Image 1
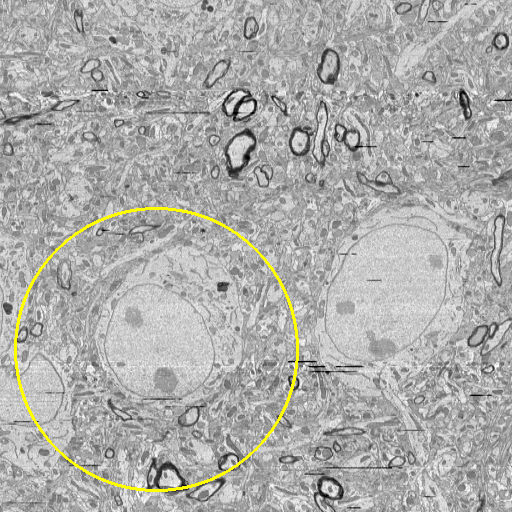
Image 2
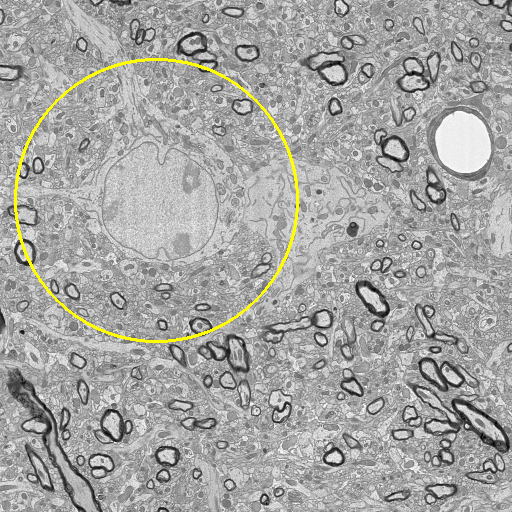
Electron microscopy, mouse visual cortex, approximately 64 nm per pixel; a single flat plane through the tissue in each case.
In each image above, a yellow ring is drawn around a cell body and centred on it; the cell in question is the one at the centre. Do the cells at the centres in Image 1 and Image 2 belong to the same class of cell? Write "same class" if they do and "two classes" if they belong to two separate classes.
same class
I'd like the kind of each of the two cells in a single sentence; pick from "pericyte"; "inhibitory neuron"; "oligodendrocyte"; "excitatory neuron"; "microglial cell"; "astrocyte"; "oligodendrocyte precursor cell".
Each of the two rings is centred on an excitatory neuron.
